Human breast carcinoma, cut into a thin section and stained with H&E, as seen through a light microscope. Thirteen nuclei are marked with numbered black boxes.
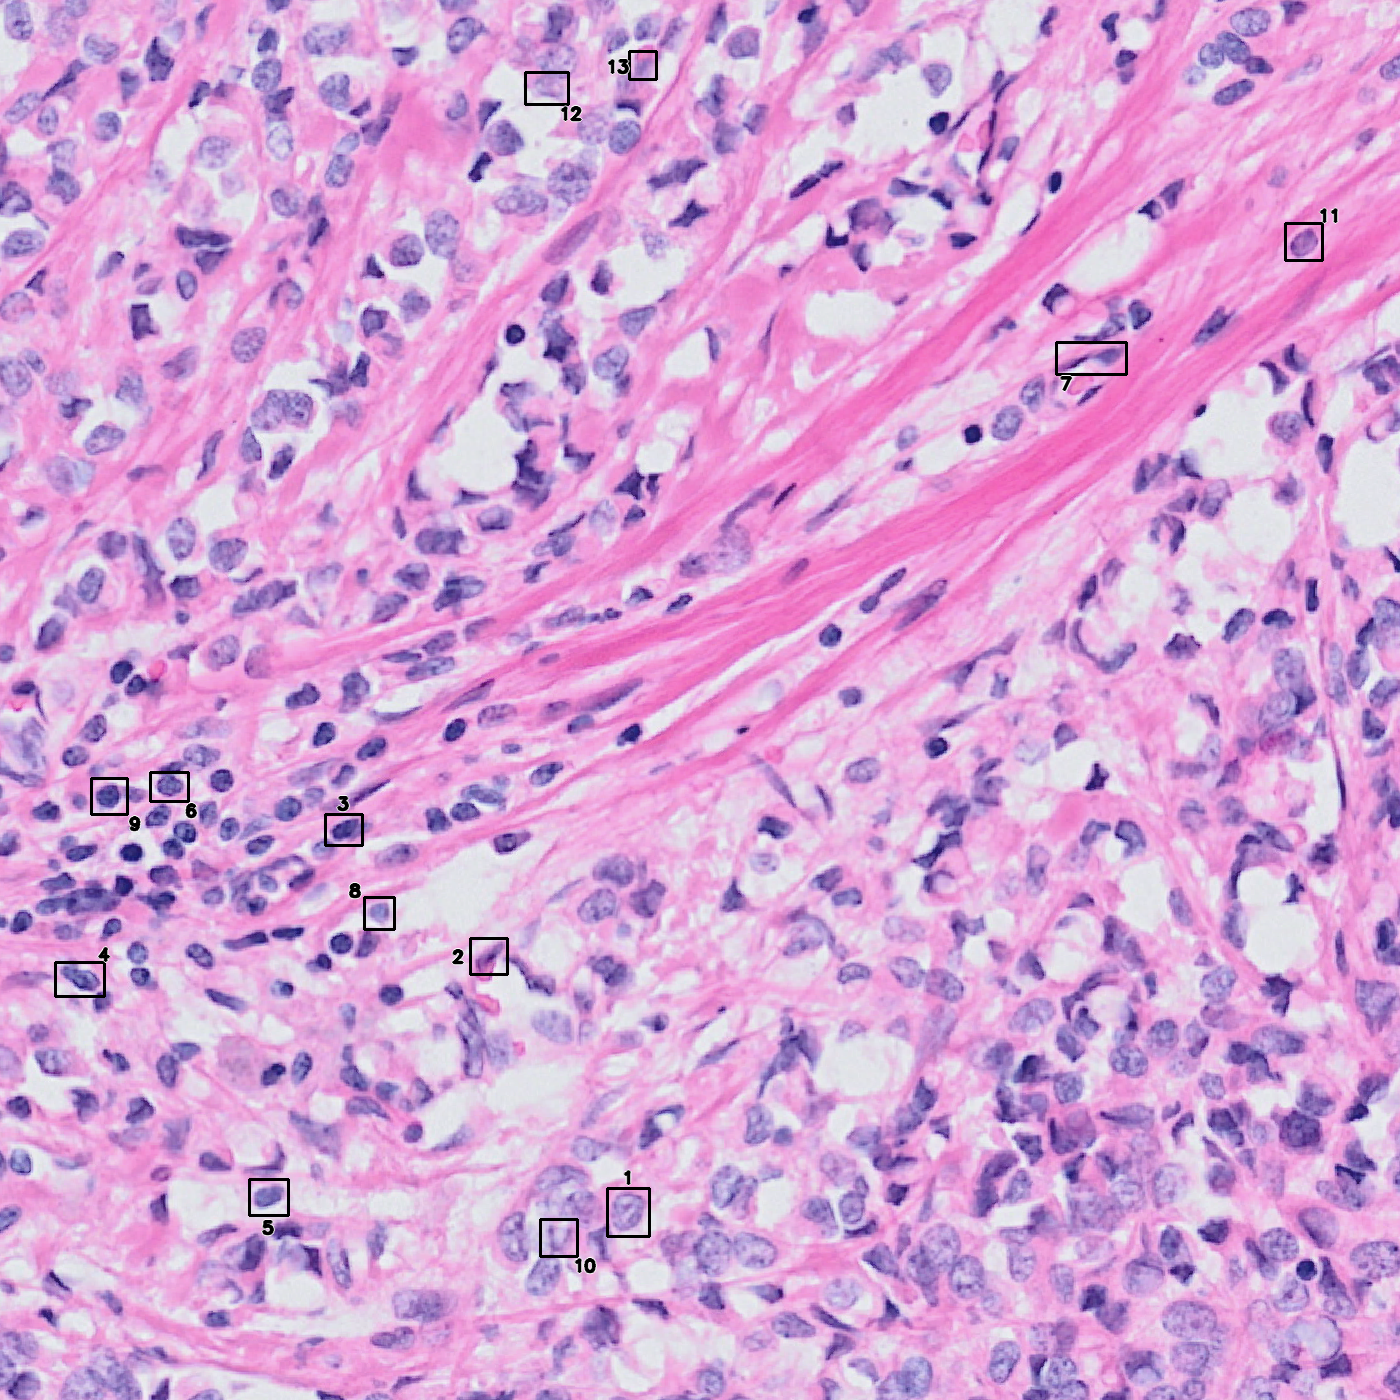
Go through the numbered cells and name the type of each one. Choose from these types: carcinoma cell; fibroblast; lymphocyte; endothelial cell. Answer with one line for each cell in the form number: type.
1: carcinoma cell
2: endothelial cell
3: lymphocyte
4: lymphocyte
5: lymphocyte
6: lymphocyte
7: endothelial cell
8: lymphocyte
9: lymphocyte
10: carcinoma cell
11: lymphocyte
12: carcinoma cell
13: endothelial cell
